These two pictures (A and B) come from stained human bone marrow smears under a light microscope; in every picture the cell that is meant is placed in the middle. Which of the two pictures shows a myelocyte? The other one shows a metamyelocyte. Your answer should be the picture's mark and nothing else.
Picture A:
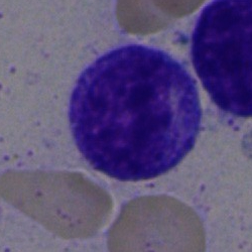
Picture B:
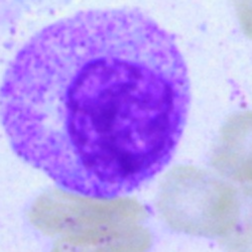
B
